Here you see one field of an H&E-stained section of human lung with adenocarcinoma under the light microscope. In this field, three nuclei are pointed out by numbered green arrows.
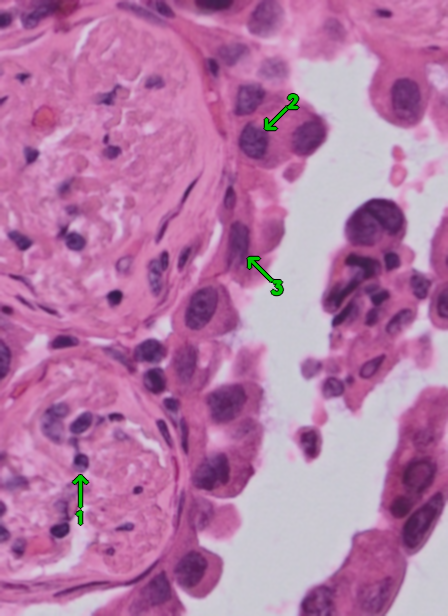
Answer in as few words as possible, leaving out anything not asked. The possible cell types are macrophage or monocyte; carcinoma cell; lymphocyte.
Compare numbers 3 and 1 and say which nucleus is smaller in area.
1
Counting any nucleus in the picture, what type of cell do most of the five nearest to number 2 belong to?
carcinoma cell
